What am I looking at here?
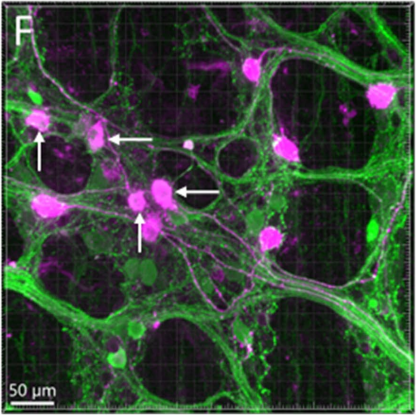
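Myenteric ganglia with labeled neurons. Green fibre bundles form a polygonal meshwork of interganglionic strands enclosing dark open spaces, with ganglia at the junctions holding clustered round cell bodies. Many somata are green only; scattered larger round somata are bright magenta, and several of these also carry green, appearing pale pink. Thin magenta processes run along the green strands.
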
